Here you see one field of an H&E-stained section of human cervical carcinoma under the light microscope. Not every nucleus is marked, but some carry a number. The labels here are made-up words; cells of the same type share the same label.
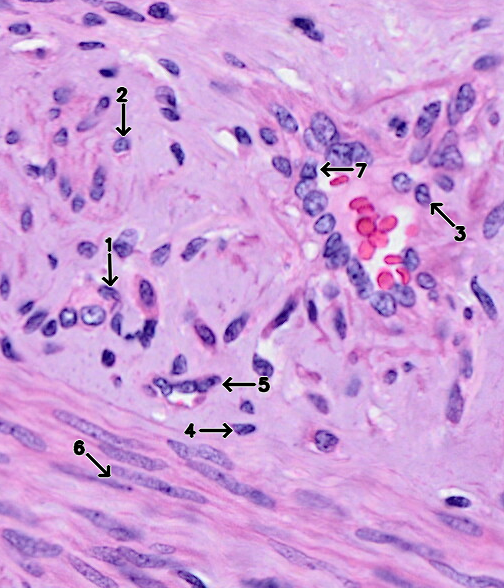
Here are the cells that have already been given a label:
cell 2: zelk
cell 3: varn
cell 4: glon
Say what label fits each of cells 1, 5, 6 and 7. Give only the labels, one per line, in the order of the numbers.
varn
varn
zelk
varn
